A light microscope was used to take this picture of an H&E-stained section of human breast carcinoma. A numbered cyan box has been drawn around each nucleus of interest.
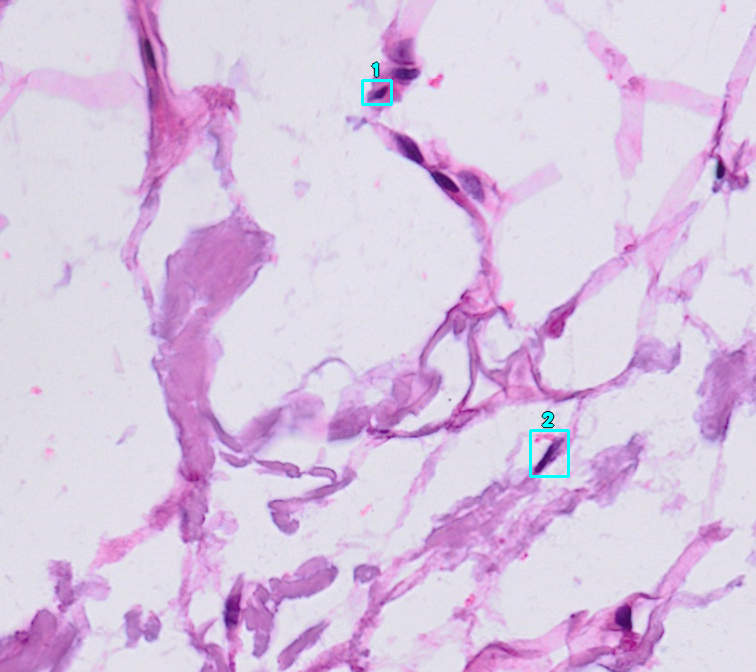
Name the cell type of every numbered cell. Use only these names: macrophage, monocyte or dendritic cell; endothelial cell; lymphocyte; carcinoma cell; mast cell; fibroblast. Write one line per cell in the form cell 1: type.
cell 1: endothelial cell
cell 2: fibroblast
